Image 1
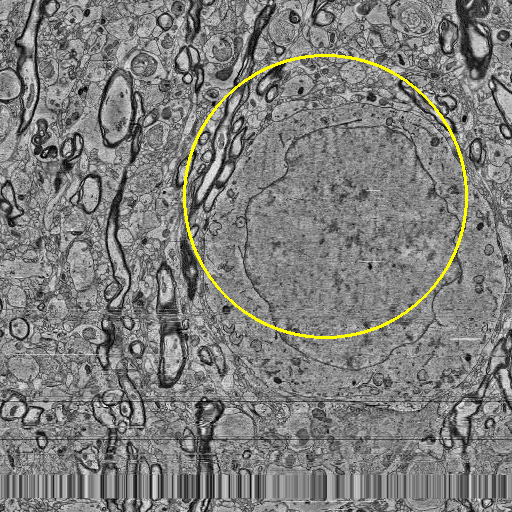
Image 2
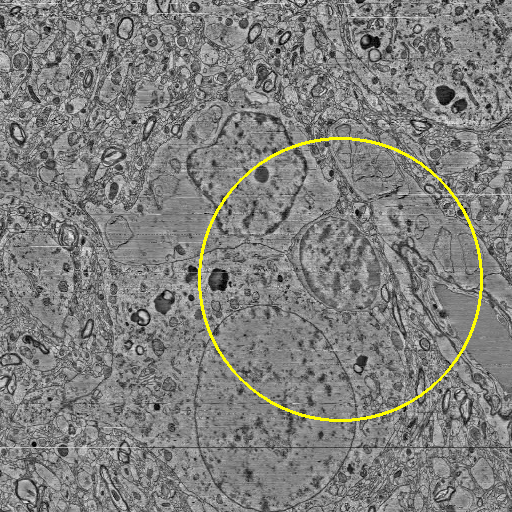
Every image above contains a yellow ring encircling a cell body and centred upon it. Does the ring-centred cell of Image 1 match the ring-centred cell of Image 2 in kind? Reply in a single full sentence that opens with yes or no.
No, the cell at the ring's centre in Image 1 is a separate kind from that in Image 2.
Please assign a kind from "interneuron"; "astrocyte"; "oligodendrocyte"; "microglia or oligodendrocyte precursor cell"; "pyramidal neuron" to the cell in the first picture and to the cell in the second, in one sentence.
In the first picture we have a pyramidal neuron, and in the second, an oligodendrocyte.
